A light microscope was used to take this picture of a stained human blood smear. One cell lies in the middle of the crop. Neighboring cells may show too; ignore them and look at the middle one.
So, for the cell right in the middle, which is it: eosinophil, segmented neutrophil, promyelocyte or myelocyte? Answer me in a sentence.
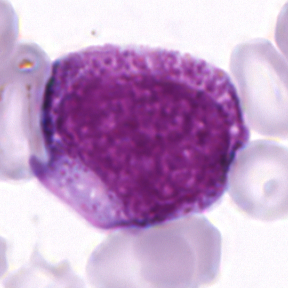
Classification of the middle cell gives a promyelocyte.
